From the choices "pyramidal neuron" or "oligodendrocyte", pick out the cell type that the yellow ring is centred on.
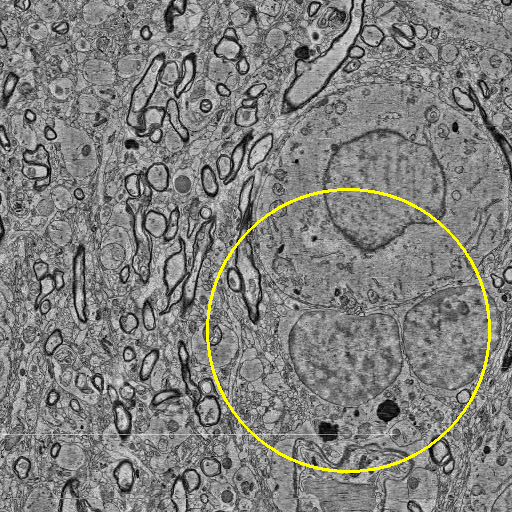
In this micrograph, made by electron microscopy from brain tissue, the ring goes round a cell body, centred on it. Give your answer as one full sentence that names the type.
The yellow ring is centred on an oligodendrocyte, whose cell body it encircles in the picture.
